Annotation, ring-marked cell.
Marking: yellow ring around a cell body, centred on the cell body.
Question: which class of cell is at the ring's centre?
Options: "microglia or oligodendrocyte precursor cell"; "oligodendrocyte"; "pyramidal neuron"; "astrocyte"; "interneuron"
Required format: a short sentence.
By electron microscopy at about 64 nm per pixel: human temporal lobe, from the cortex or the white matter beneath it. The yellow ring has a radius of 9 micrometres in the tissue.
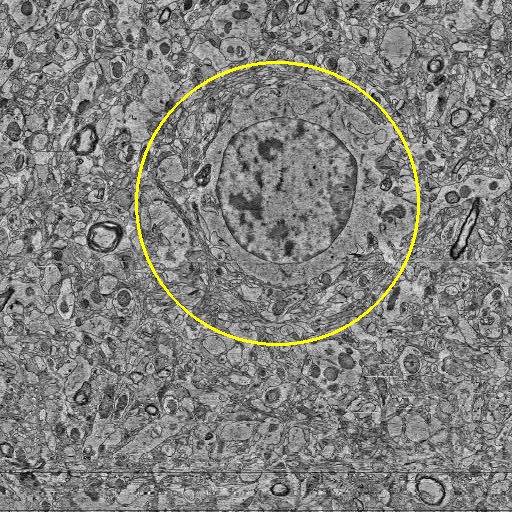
At the ring's centre is an astrocyte.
